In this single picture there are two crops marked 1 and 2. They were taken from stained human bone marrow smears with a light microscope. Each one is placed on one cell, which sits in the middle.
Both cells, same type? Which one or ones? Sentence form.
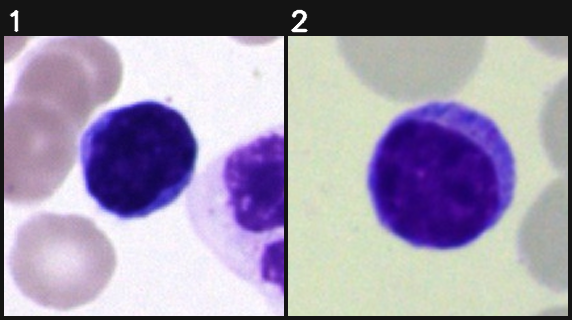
Yes, the two cells in the two crops are lymphocytes.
